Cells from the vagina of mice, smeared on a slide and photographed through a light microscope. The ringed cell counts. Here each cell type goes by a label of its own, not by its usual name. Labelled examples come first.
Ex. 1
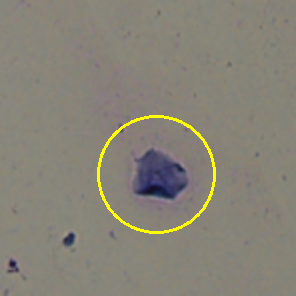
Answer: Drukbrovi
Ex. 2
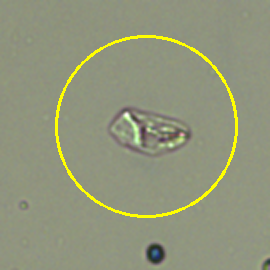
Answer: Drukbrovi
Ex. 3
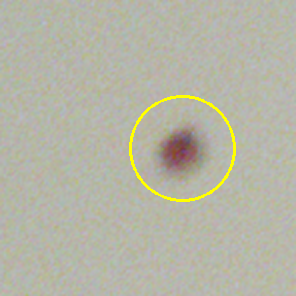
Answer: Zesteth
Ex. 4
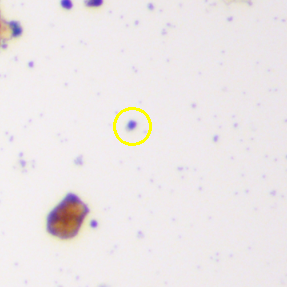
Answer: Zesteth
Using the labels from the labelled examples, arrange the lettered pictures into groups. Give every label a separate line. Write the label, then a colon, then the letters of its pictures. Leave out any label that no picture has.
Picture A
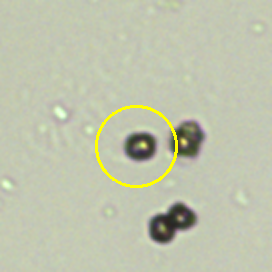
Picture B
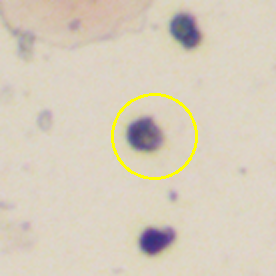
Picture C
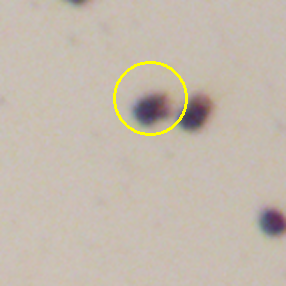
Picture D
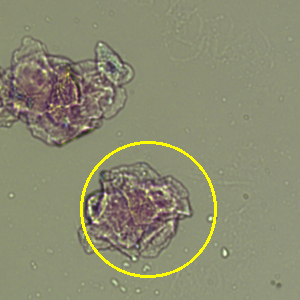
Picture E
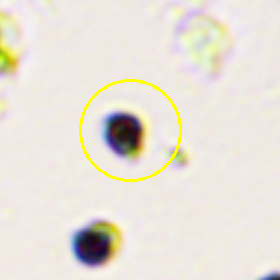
Drukbrovi: D
Zesteth: A, B, C, E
